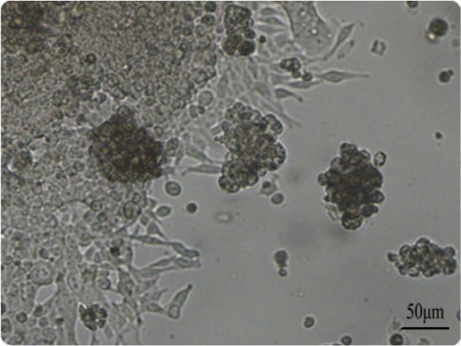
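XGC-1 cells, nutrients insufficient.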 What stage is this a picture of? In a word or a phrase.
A: Fall off the plate into the culture medium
